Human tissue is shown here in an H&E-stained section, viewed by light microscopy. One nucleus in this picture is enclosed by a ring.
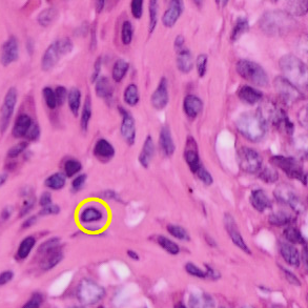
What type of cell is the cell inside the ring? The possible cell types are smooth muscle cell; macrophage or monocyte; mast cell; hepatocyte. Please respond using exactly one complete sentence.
Labelled by cell type, the cell inside the ring is a mast cell.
